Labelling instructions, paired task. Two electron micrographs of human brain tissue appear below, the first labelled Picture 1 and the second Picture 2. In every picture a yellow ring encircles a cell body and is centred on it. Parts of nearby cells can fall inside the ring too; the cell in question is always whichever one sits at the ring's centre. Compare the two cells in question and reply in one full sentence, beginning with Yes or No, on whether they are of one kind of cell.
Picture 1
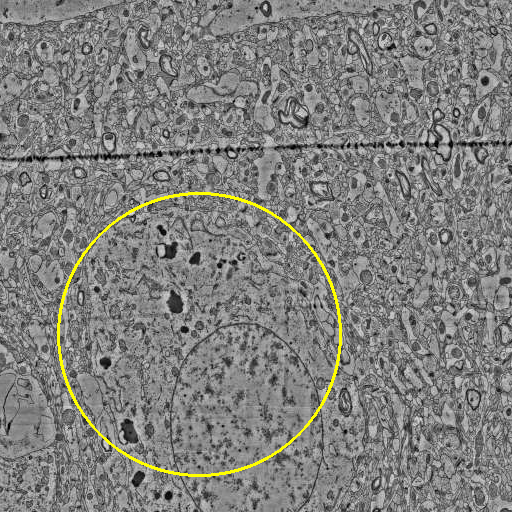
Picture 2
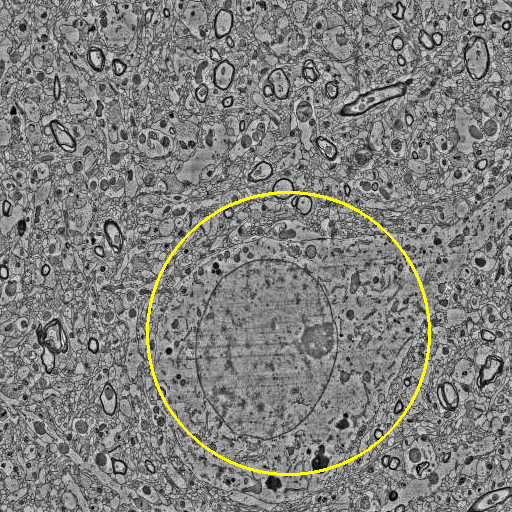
Yes, the two cells at the ring centres in Picture 1 and Picture 2 are of one kind.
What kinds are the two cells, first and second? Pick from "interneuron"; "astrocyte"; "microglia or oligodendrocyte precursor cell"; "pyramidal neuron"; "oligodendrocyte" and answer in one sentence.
Each of the two pictures has a pyramidal neuron at the ring centre.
